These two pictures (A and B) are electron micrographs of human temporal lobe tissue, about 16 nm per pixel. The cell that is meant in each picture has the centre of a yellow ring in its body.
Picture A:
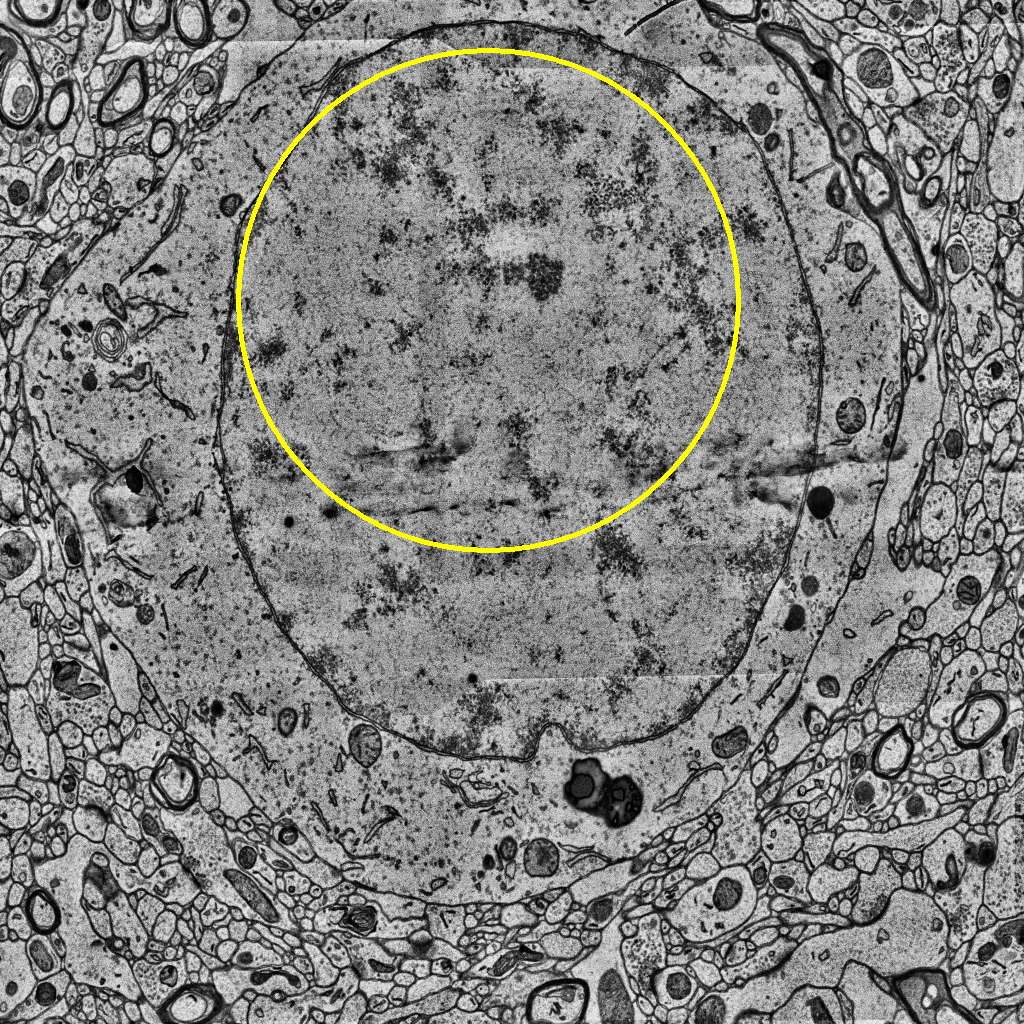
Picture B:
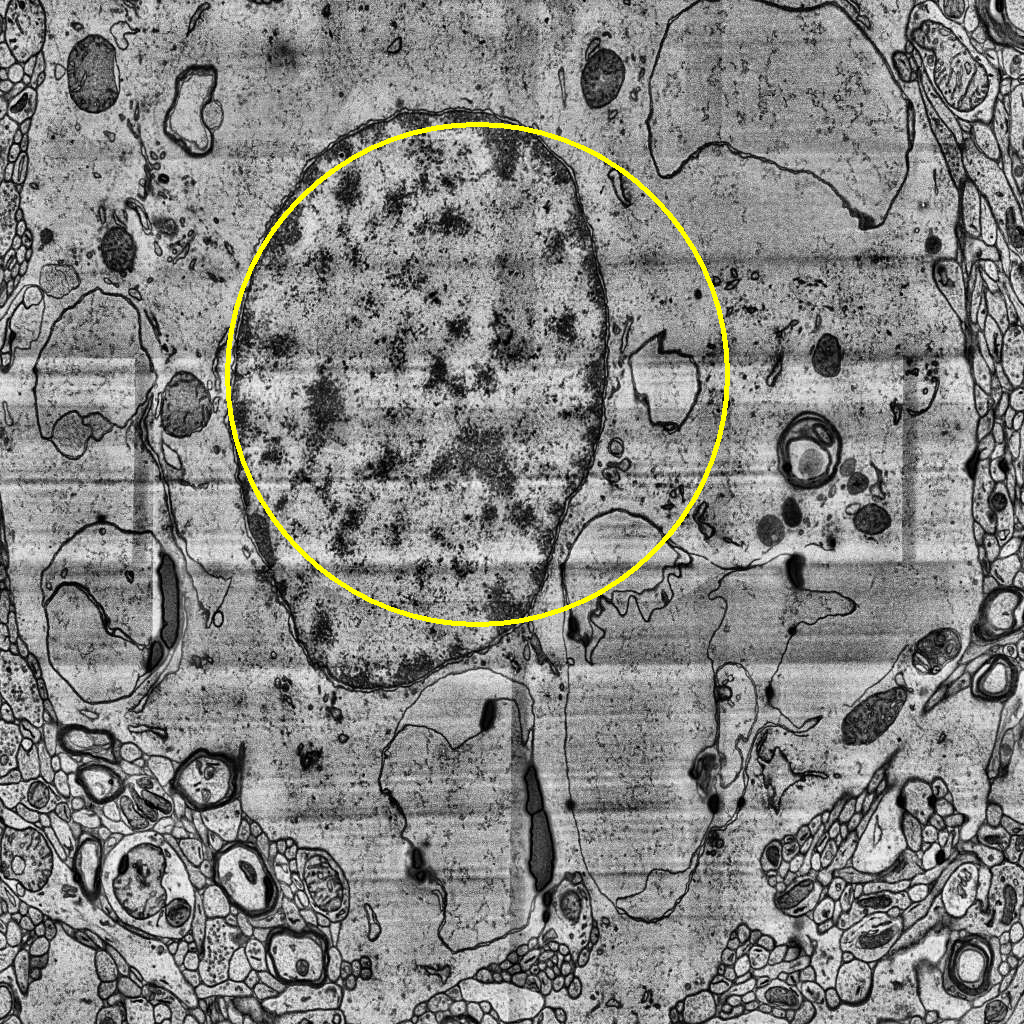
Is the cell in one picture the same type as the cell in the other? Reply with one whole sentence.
No, the types are not the same, since picture A shows a pyramidal neuron and picture B an astrocyte.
